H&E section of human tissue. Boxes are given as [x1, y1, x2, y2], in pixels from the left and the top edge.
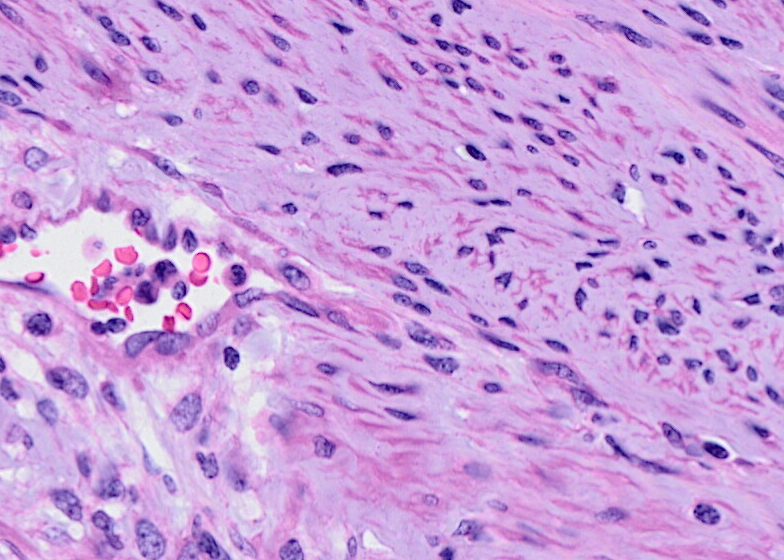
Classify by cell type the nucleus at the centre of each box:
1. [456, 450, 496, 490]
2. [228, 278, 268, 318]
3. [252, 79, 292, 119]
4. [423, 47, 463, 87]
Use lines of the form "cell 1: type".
cell 1: smooth muscle cell
cell 2: endothelial cell
cell 3: smooth muscle cell
cell 4: smooth muscle cell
